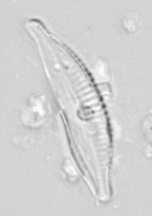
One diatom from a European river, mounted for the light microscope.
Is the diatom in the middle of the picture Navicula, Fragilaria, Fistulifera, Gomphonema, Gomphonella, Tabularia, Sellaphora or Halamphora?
It is Halamphora.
